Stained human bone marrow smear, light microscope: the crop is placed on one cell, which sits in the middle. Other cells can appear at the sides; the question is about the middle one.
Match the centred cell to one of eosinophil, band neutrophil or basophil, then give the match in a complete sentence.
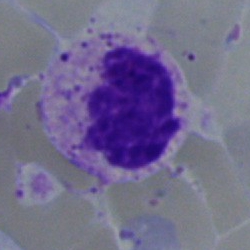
In the crop, the cell of interest at the centre is a basophil.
